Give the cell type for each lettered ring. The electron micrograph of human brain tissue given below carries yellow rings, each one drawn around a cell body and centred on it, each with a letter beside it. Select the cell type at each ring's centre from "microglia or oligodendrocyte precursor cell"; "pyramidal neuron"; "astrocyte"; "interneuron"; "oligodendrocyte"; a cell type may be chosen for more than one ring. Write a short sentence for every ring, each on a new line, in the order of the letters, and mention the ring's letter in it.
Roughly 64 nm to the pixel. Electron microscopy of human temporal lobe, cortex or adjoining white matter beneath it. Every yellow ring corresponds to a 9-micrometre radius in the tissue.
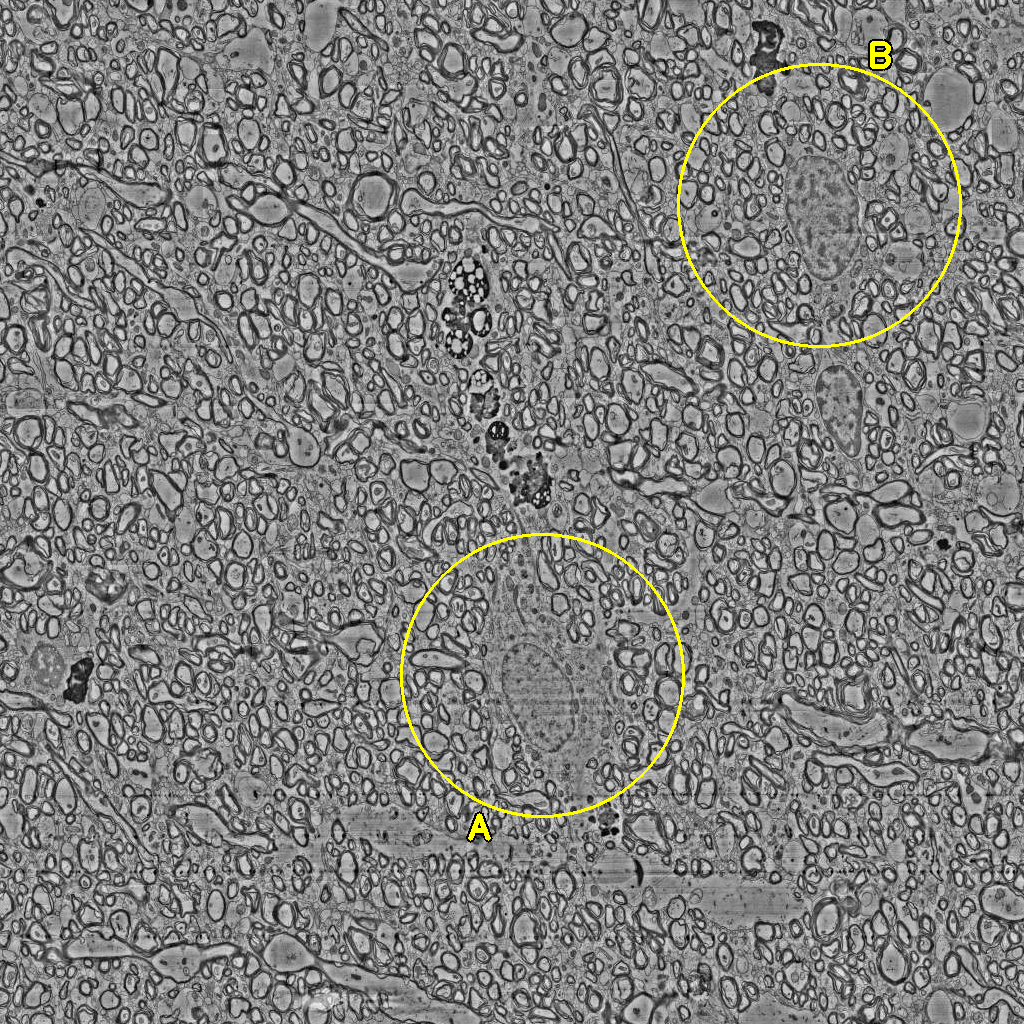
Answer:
The cell type for ring A is an astrocyte.
The cell type for ring B is an oligodendrocyte.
